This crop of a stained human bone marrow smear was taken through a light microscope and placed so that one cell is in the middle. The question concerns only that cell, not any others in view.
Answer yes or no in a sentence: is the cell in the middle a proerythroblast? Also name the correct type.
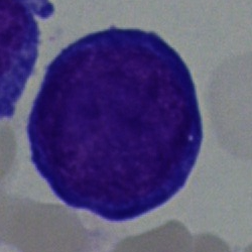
Yes, the cell that lies centrally is a proerythroblast.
